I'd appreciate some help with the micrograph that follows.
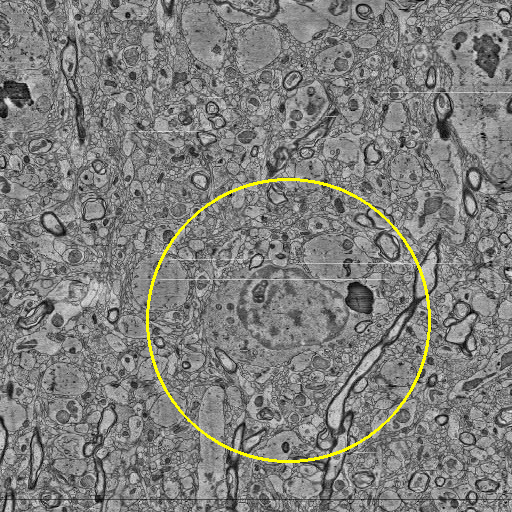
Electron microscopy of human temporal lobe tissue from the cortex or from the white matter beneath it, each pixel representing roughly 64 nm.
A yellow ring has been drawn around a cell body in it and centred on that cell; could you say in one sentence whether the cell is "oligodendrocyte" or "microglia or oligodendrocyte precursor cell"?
It is an oligodendrocyte at the centre of the ring.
